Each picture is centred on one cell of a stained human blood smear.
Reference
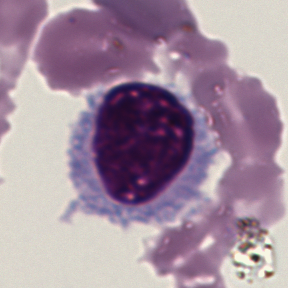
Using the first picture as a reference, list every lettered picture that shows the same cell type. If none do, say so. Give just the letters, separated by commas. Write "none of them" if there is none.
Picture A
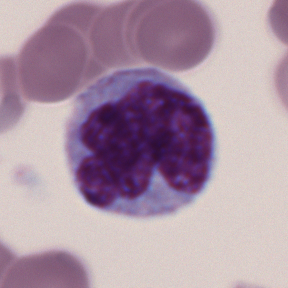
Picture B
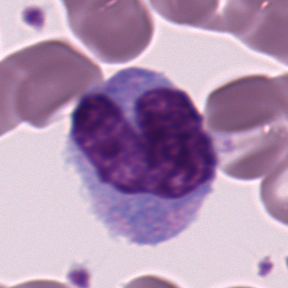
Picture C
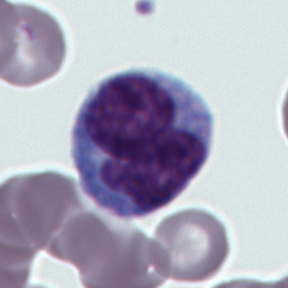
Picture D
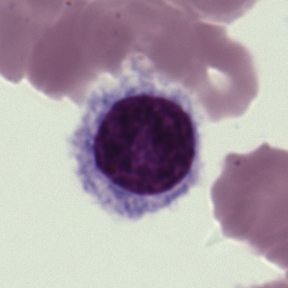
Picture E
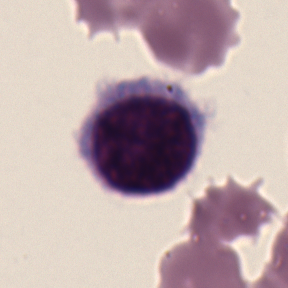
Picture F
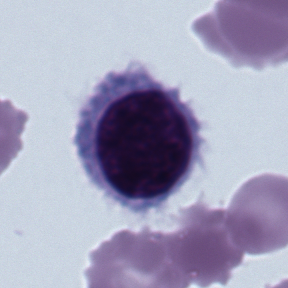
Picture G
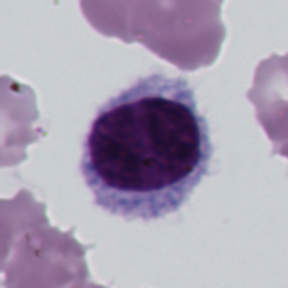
D, E, F, G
